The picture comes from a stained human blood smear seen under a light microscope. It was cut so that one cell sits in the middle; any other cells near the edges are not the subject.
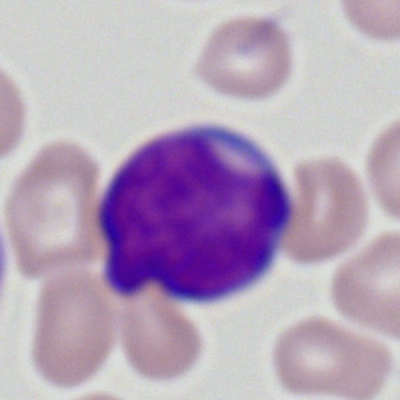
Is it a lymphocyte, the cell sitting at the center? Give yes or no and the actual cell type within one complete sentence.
No, the central cell is a myeloblast, not a lymphocyte.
